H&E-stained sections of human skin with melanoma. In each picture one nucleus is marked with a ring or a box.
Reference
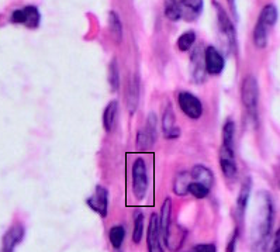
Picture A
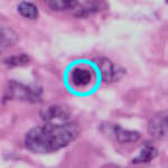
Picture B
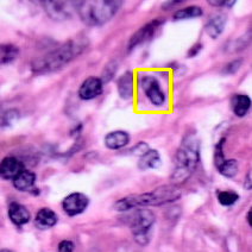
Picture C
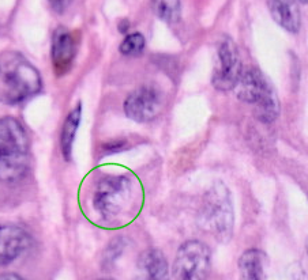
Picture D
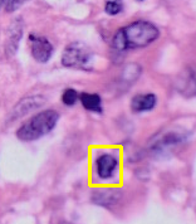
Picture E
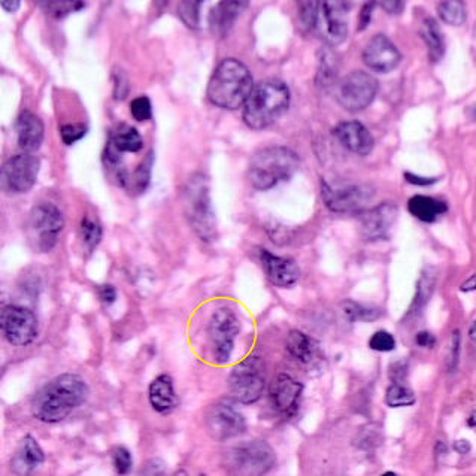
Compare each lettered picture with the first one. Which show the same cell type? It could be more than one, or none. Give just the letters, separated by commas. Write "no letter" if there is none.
A, B, D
